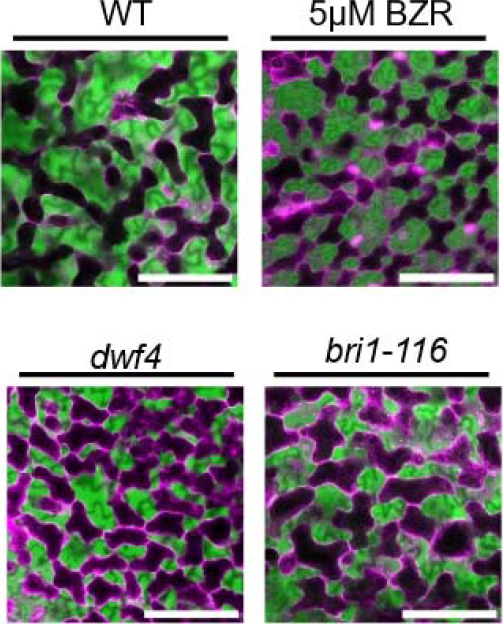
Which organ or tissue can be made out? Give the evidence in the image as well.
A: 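Cells are irregular and lobed. Cells are loosely arranged rather than tightly packed. On this evidence: spongy mesophyll.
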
